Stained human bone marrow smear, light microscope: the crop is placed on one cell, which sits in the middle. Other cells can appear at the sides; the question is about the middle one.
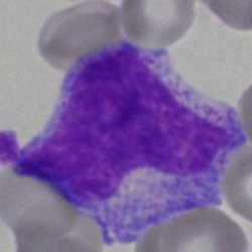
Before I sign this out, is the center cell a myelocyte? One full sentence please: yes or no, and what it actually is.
Yes, the cell lying in the middle is a myelocyte.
